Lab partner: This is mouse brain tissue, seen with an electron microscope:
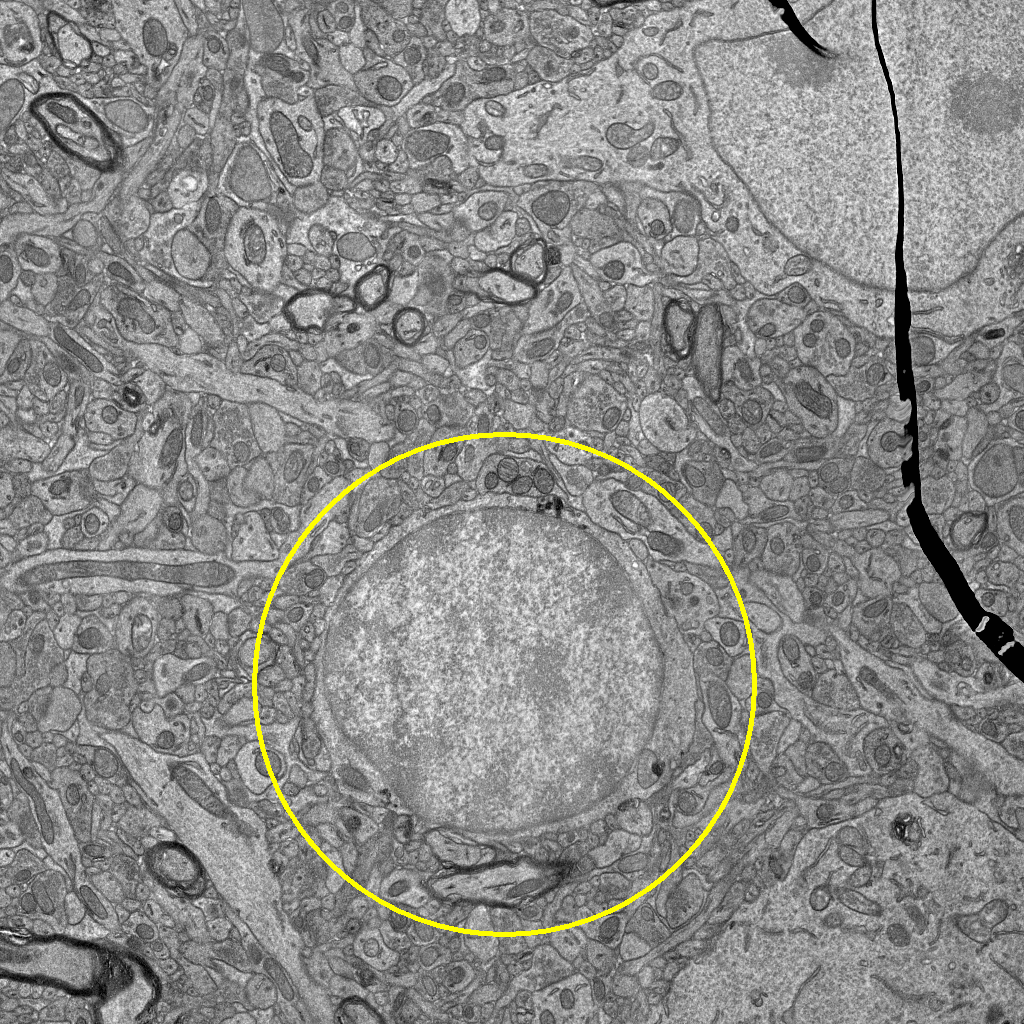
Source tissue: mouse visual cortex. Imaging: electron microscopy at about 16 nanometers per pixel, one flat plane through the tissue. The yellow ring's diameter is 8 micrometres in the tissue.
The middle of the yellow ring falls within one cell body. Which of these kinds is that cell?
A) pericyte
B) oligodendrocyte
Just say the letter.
B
